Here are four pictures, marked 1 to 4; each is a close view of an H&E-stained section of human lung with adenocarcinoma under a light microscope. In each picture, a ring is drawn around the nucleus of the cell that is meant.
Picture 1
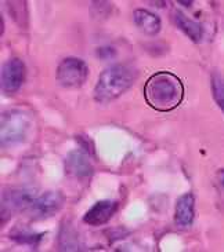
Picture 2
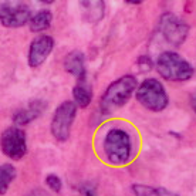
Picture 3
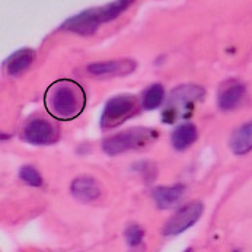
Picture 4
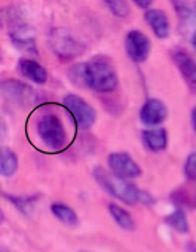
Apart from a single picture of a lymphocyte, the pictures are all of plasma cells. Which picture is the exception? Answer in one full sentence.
The lymphocyte is the one in picture 2.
